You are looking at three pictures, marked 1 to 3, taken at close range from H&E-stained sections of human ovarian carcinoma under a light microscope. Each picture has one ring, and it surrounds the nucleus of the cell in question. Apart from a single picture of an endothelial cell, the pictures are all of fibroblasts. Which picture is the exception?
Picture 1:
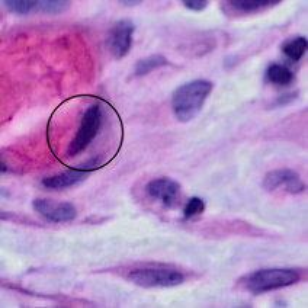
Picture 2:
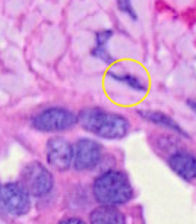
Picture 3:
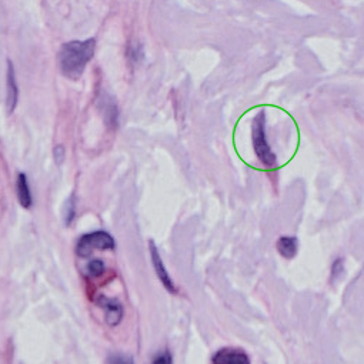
1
